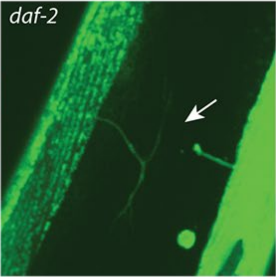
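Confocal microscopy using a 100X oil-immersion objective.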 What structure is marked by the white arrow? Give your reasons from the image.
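Severed axons. A thin green process with a small bulb at its end lies near the arrow. The process lies in the dark gap between the brightly fluorescent bands on either side.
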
